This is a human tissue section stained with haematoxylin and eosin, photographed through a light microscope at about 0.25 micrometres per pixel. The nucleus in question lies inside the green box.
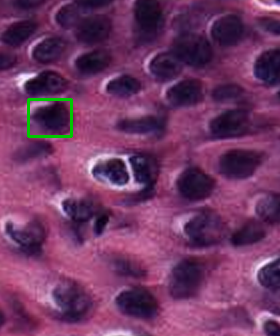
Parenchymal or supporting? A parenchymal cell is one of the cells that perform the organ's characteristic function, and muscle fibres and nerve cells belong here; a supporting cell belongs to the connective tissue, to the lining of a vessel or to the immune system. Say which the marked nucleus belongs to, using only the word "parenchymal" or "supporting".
parenchymal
